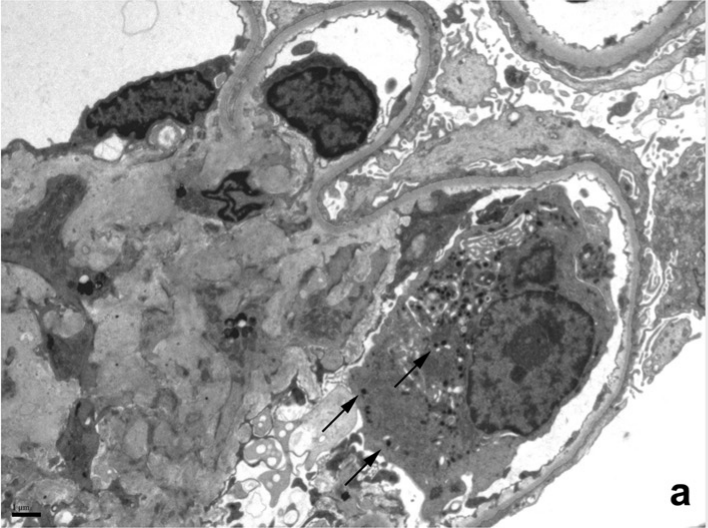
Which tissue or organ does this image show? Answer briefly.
Glomeruli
